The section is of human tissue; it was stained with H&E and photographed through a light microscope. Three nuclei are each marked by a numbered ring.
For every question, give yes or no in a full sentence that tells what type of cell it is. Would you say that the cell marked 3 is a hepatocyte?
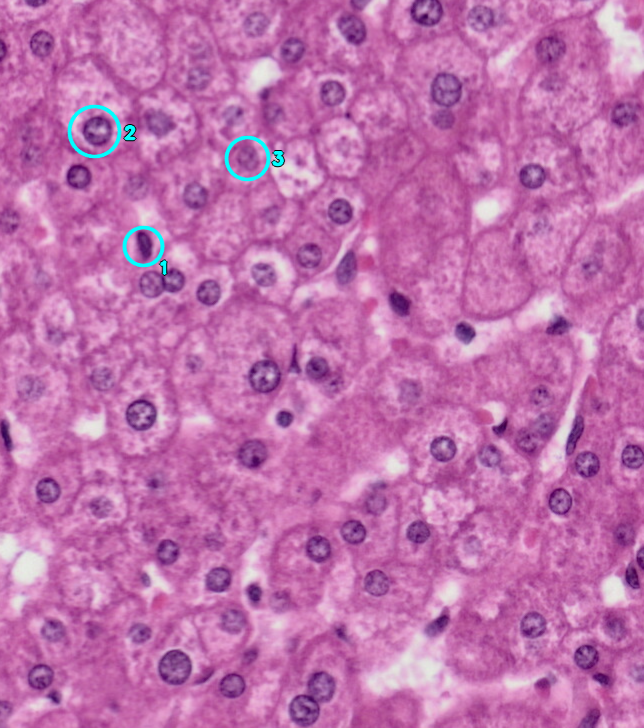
Yes, the cell at the mark numbered 3 is a hepatocyte.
